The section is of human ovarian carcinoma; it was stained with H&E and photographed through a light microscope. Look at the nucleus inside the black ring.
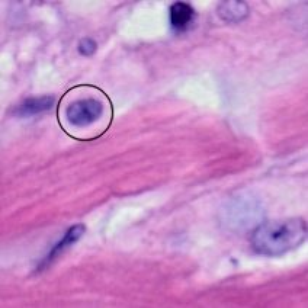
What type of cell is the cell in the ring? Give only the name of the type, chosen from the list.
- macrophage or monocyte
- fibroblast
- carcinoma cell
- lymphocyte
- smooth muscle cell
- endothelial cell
lymphocyte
